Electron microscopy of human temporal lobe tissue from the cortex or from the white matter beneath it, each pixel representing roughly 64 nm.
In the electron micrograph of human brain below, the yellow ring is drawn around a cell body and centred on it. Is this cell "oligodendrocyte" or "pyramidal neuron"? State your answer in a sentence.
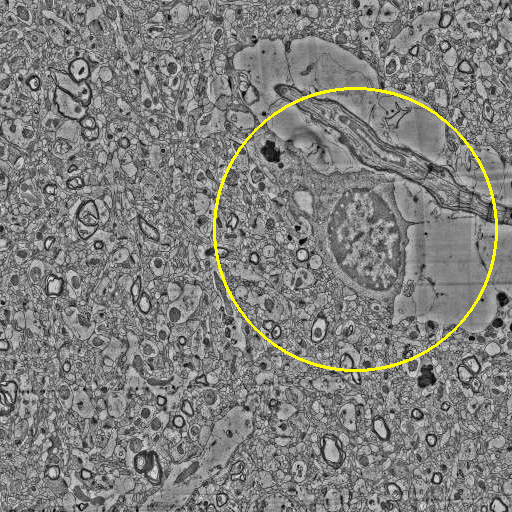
The cell in the middle of the ring is an oligodendrocyte.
